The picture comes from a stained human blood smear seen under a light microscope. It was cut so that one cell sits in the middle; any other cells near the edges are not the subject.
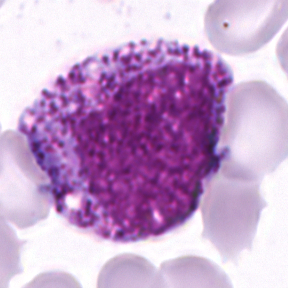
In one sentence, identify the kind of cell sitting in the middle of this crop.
Classified as a promyelocyte is the cell in the middle of this crop.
